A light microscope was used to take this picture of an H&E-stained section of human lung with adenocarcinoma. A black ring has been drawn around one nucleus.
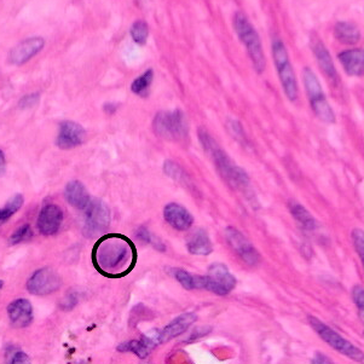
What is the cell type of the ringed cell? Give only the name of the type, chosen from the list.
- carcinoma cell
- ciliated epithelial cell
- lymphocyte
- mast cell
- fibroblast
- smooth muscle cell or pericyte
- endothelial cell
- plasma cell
plasma cell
